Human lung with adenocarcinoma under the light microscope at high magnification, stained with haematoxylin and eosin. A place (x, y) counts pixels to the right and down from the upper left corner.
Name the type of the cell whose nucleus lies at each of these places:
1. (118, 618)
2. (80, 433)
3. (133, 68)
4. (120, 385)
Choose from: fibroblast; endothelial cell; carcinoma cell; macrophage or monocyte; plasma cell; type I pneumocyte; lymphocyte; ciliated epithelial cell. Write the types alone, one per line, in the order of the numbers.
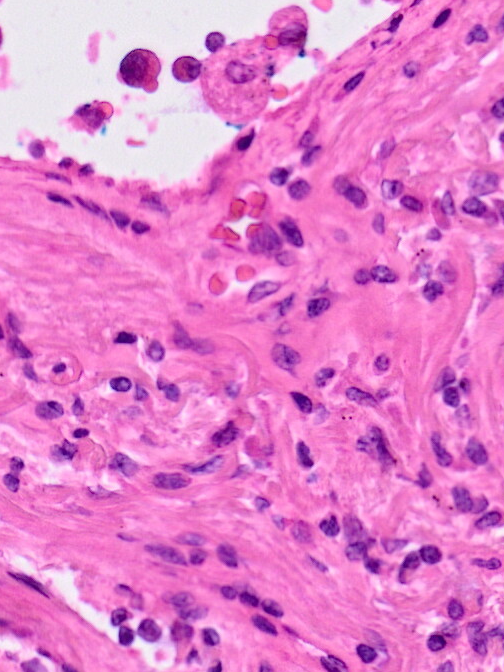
lymphocyte
lymphocyte
carcinoma cell
lymphocyte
